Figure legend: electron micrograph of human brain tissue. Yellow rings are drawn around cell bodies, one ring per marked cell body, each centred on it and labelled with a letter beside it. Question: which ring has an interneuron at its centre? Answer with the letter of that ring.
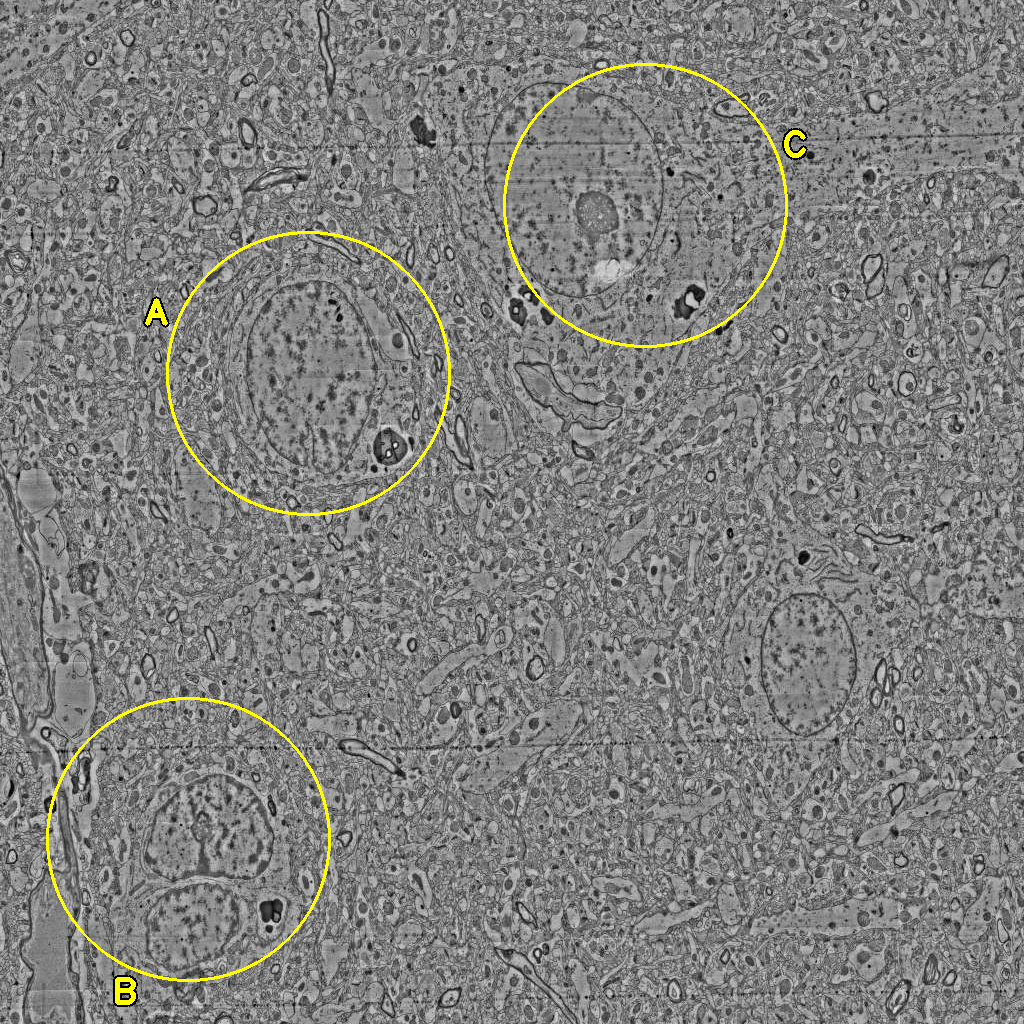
A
